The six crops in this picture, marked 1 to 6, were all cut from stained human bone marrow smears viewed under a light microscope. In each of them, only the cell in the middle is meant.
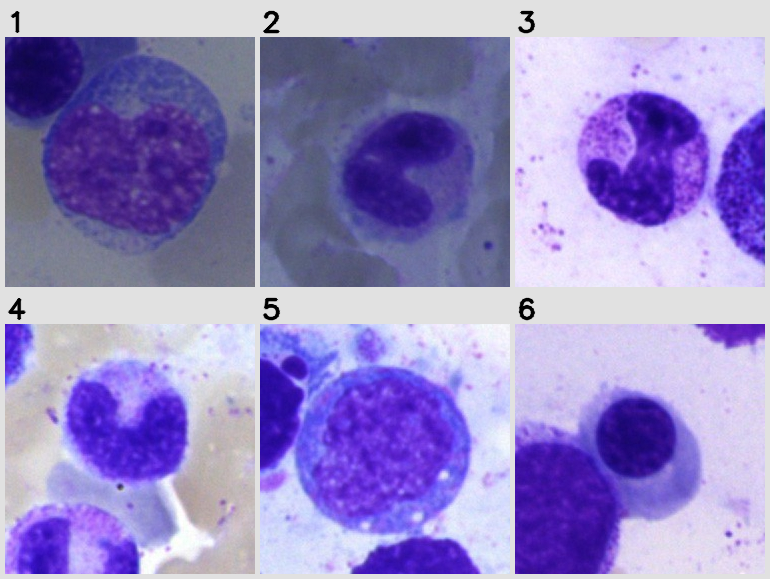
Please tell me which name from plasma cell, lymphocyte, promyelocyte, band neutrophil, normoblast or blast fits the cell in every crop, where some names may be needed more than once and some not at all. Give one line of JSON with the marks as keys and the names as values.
{"1": "blast", "2": "band neutrophil", "3": "band neutrophil", "4": "band neutrophil", "5": "promyelocyte", "6": "normoblast"}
